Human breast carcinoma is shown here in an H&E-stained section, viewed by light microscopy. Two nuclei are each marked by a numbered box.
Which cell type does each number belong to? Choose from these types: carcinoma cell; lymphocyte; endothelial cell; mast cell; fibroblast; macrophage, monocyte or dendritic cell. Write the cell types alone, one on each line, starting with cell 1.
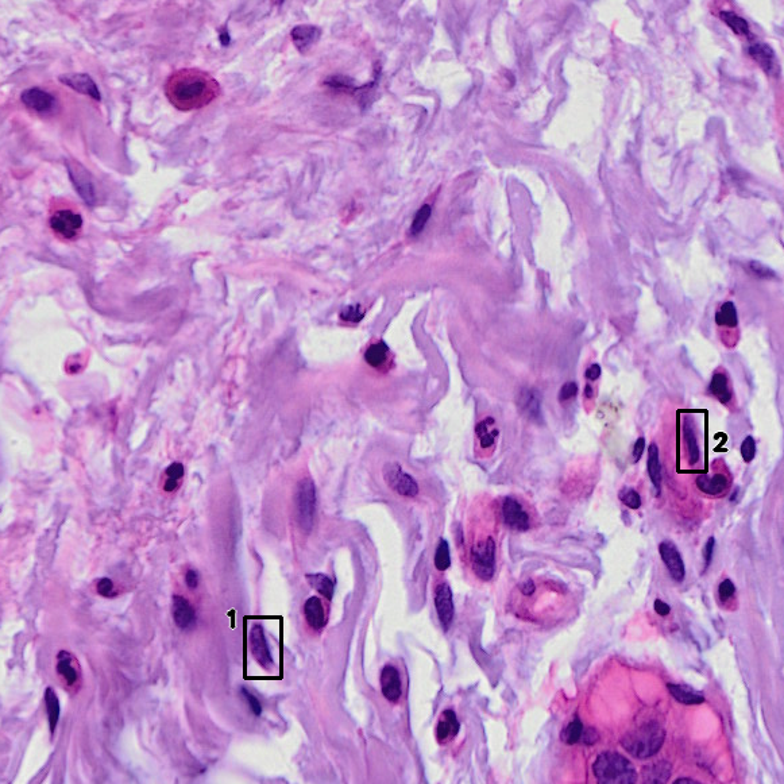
fibroblast
endothelial cell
